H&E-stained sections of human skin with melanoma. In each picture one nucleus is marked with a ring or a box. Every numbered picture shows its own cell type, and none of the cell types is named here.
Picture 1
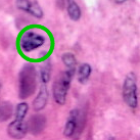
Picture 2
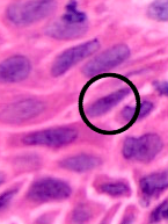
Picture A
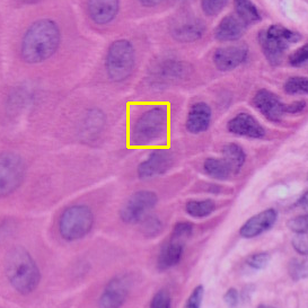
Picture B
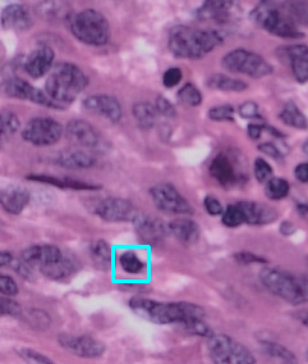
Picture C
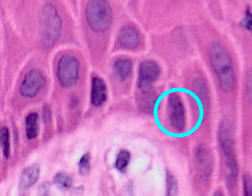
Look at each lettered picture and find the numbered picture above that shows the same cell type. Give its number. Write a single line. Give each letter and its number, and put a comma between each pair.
A 2, B 1, C 2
